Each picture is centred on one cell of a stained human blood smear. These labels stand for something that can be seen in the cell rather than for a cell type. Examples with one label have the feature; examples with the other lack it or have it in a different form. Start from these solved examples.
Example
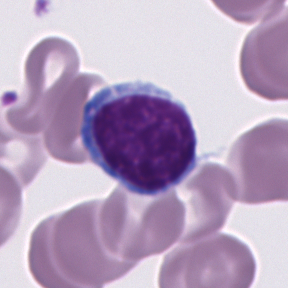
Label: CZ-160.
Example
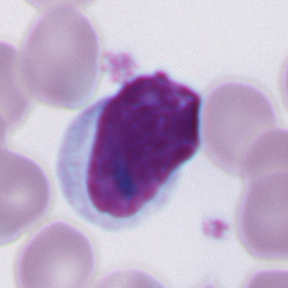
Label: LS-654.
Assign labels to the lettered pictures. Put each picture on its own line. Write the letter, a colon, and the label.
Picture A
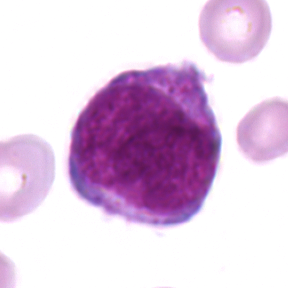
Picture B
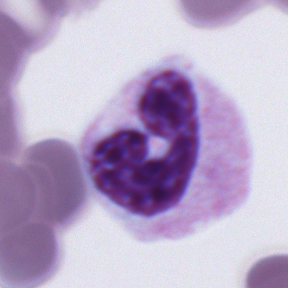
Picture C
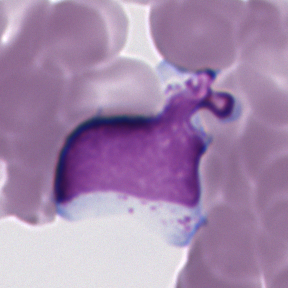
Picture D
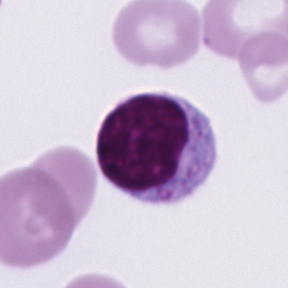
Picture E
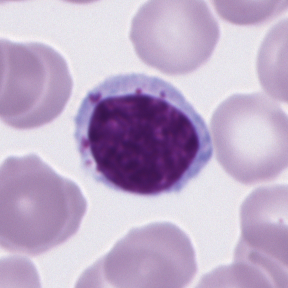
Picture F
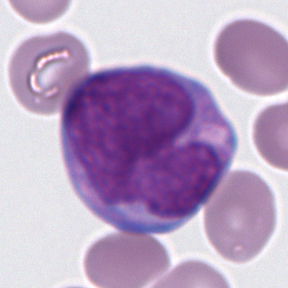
A: CZ-160.
B: LS-654.
C: CZ-160.
D: LS-654.
E: CZ-160.
F: LS-654.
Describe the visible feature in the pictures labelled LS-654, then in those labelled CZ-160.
LS-654: smooth outline; CZ-160: ragged outline or projections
